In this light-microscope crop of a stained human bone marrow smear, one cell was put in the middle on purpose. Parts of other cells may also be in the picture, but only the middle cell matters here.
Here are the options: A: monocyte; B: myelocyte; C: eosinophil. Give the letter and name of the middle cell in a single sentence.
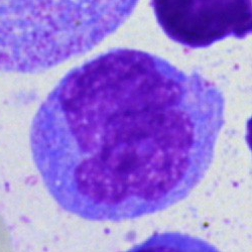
The middle of the crop holds a monocyte, which points to option A.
